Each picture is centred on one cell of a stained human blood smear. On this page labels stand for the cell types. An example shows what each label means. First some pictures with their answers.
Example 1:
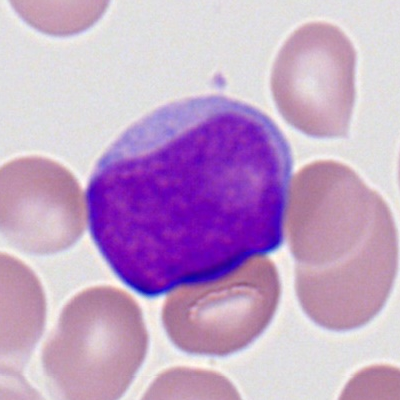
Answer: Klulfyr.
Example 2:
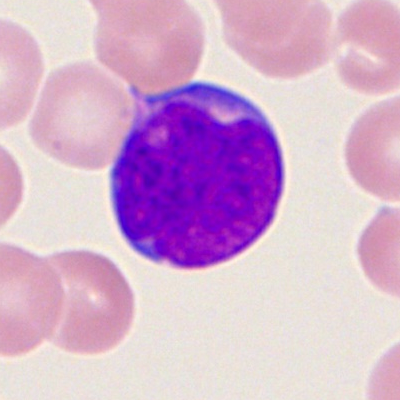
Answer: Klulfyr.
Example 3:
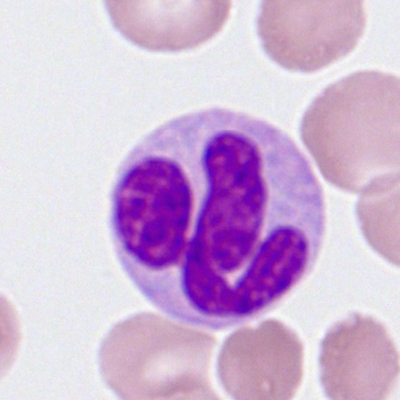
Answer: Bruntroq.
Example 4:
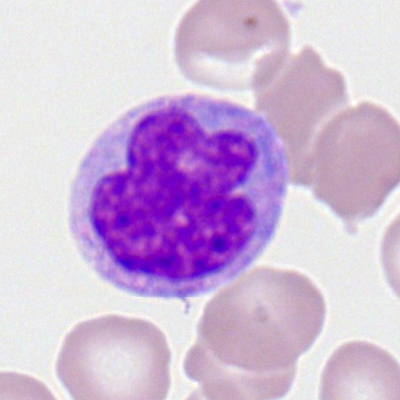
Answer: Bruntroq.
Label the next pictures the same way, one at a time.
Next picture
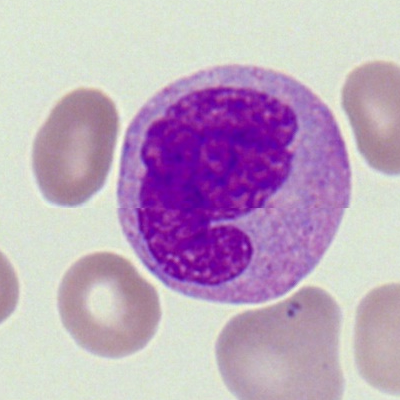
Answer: Bruntroq.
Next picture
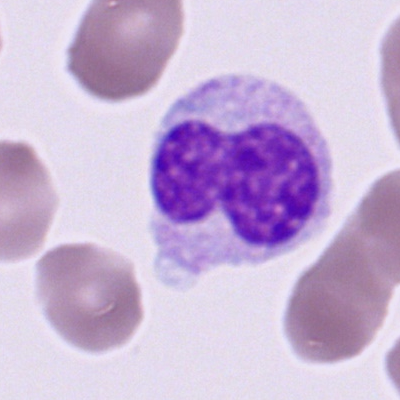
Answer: Bruntroq.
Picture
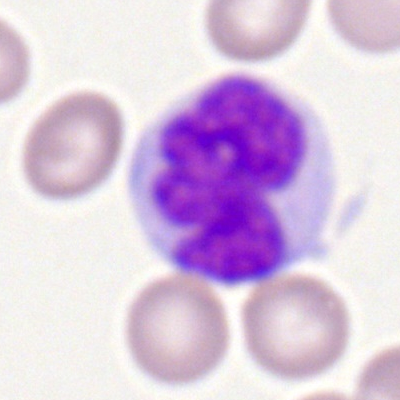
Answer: Bruntroq.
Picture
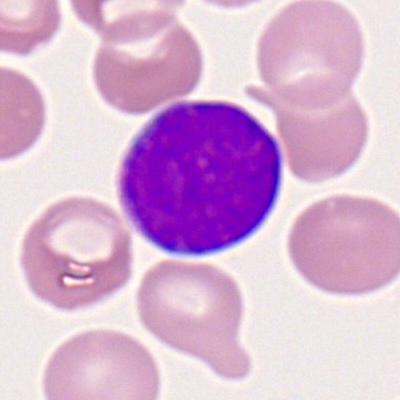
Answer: Klulfyr.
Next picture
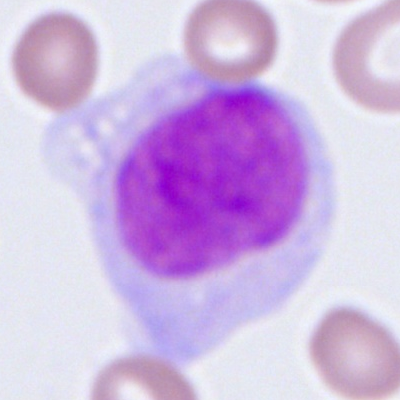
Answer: Bruntroq.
